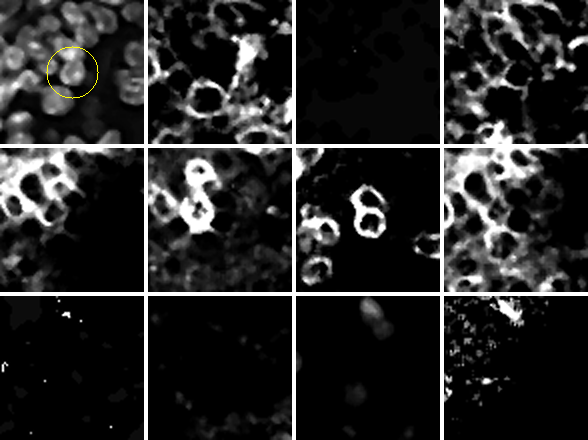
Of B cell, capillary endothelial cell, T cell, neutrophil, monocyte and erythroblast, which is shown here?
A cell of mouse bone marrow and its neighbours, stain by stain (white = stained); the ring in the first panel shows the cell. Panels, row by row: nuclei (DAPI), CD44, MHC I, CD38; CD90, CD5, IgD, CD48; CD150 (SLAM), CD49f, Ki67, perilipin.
B cell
